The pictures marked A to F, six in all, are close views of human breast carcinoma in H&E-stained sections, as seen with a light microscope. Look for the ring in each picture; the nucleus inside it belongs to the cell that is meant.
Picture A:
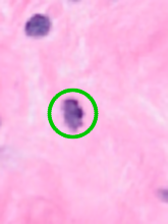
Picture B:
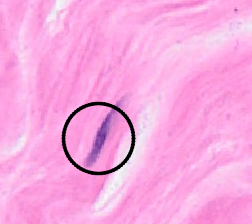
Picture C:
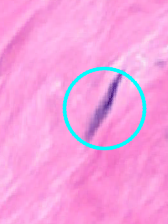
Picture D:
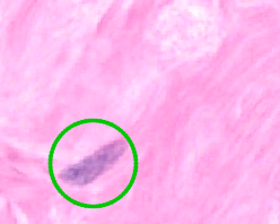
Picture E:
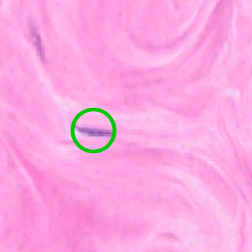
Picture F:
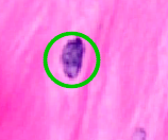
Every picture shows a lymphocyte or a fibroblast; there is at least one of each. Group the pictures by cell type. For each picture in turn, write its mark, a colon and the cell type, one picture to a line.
A: lymphocyte
B: fibroblast
C: fibroblast
D: fibroblast
E: fibroblast
F: lymphocyte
